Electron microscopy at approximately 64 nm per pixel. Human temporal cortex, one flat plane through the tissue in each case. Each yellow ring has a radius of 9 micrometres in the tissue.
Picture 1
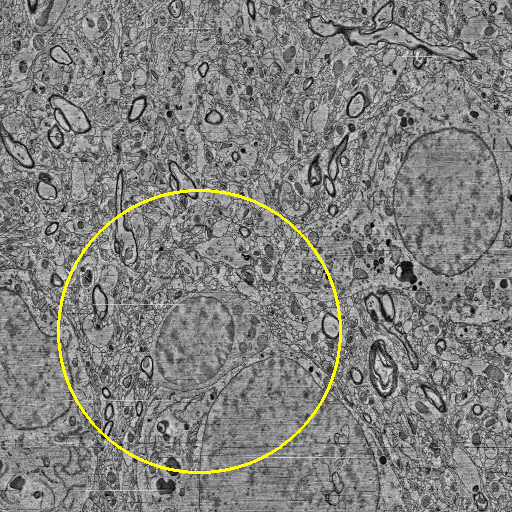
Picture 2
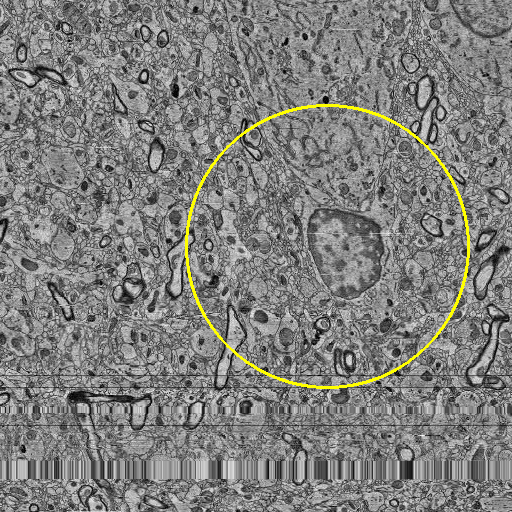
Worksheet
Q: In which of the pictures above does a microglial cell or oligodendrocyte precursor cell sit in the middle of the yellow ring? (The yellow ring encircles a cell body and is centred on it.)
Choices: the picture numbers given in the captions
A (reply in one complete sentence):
In picture 2, the cell sitting at the centre of the ring is the match.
